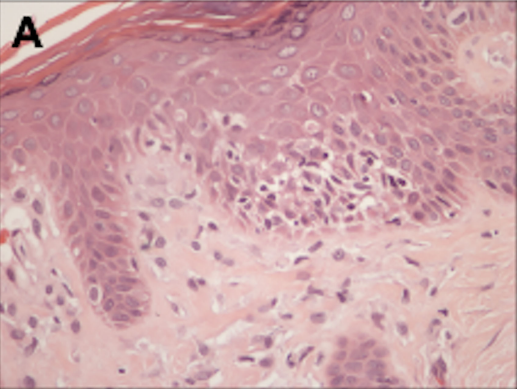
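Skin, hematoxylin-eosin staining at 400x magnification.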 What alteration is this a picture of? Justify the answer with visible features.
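A cluster of small cells with dark, irregular nuclei lies inside the lower epidermis among keratinocytes. These cells have clear halos around them, unlike the pink-cytoplasm keratinocytes. On this evidence: Epidermotropism of atypical lymphocytes.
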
